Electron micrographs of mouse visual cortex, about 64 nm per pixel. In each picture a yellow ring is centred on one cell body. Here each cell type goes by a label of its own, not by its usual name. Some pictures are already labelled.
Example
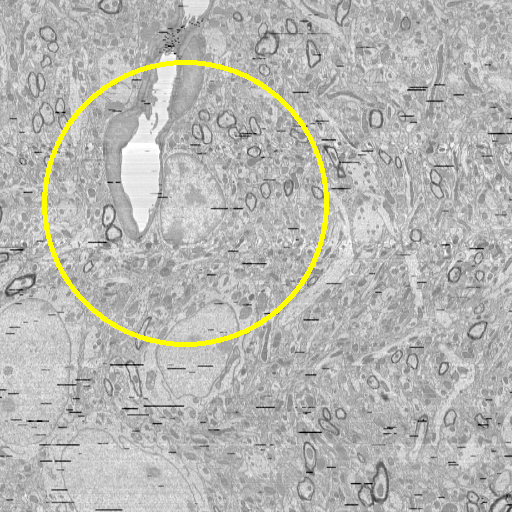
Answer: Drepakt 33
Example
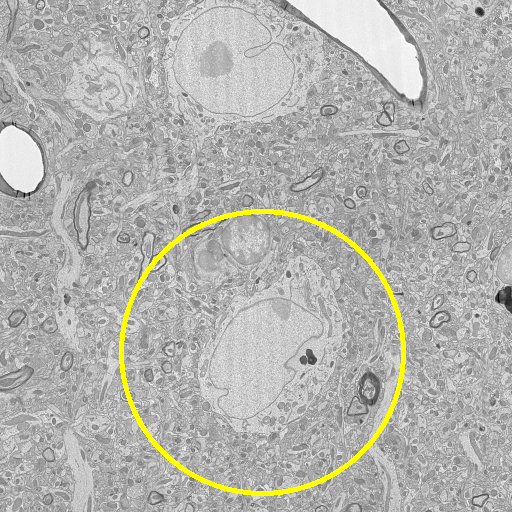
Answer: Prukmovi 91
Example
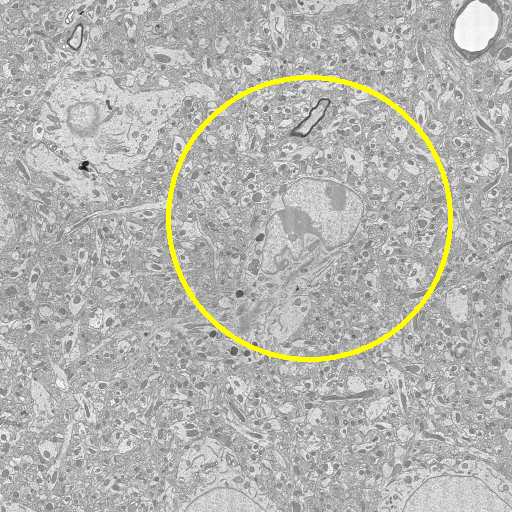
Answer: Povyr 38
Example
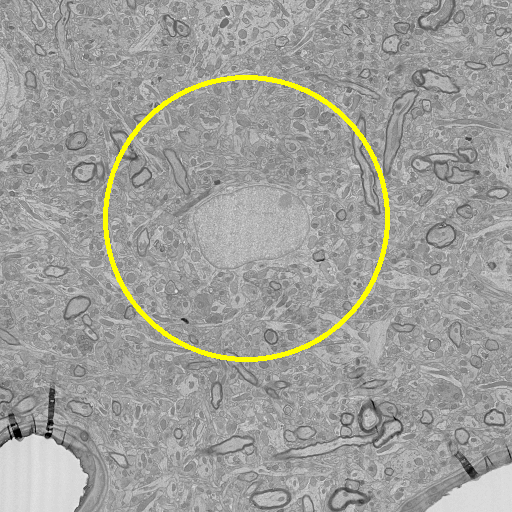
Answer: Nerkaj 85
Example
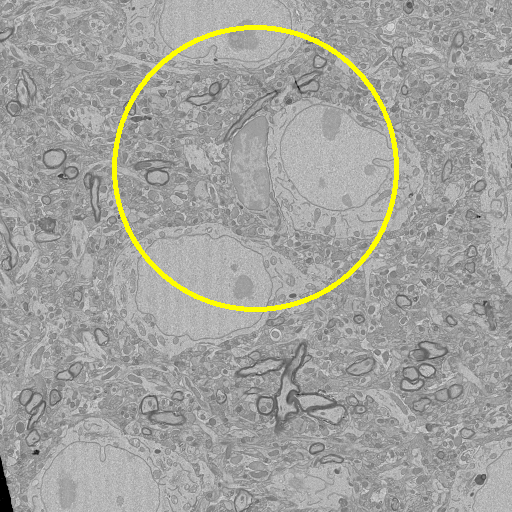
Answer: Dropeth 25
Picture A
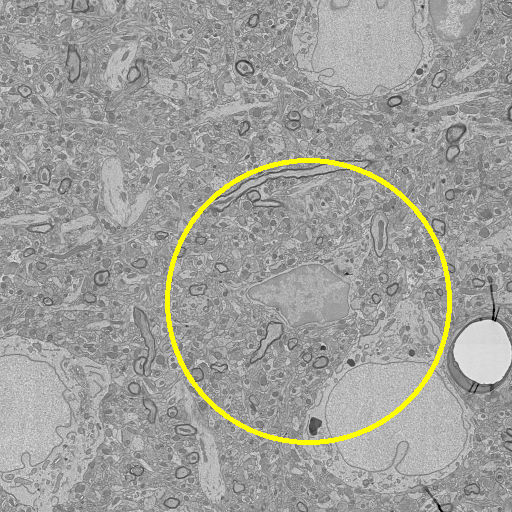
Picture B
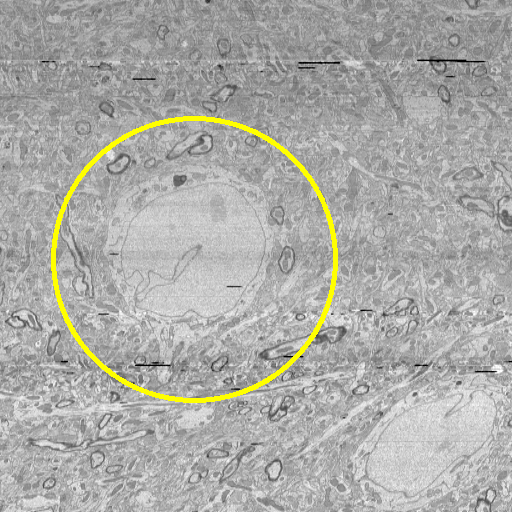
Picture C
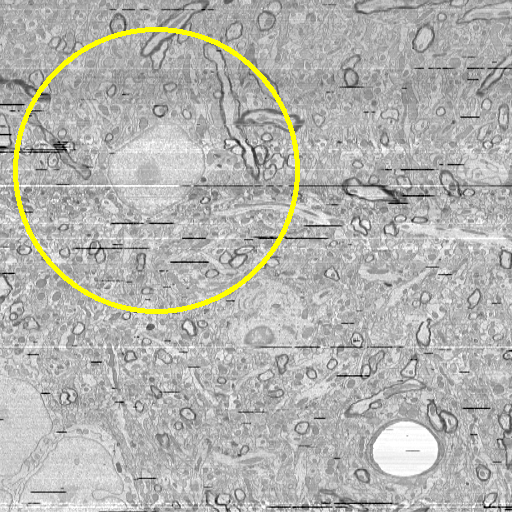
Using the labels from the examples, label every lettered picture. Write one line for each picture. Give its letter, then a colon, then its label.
A: Dropeth 25
B: Prukmovi 91
C: Nerkaj 85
